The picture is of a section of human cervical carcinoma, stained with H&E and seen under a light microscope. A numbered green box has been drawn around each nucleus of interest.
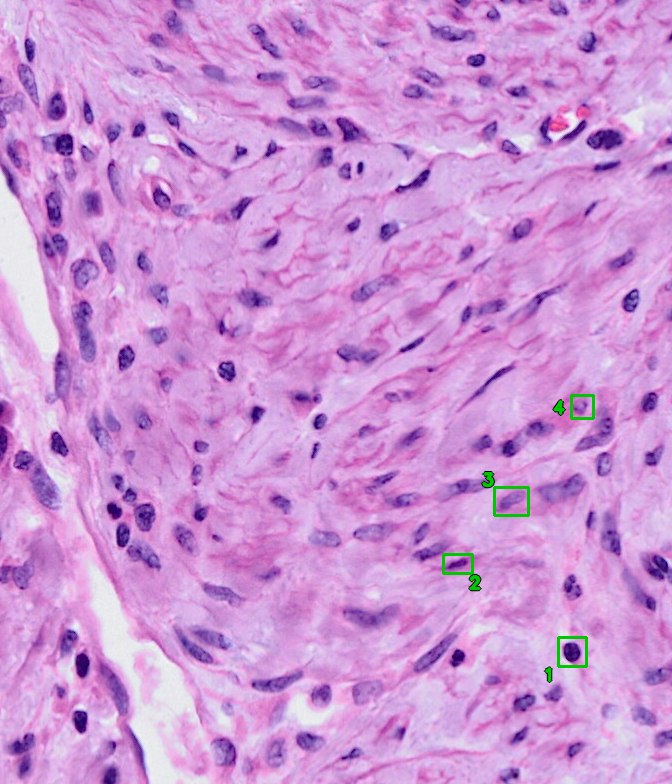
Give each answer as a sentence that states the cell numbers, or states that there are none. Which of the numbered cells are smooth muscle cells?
The cells marked with the numbers 2, 3 and 4 are smooth muscle cells.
